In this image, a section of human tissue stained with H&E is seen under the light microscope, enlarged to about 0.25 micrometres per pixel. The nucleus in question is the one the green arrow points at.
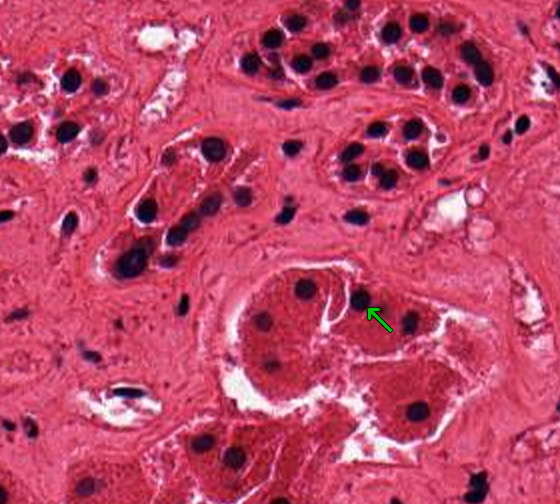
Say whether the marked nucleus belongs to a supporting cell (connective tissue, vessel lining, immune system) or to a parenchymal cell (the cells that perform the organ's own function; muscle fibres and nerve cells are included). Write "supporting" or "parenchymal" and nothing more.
parenchymal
